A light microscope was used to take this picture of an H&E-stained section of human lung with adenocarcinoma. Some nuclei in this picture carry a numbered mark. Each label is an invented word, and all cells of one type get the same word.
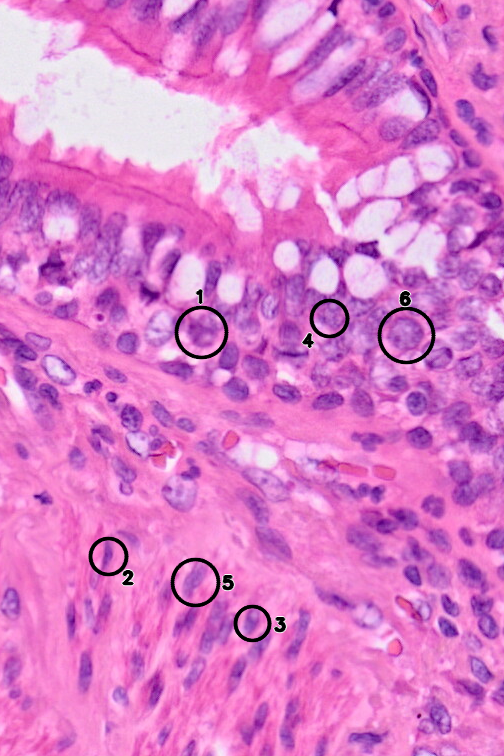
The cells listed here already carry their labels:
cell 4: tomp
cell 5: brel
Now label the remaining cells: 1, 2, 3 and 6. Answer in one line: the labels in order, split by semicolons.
tomp; brel; brel; tomp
